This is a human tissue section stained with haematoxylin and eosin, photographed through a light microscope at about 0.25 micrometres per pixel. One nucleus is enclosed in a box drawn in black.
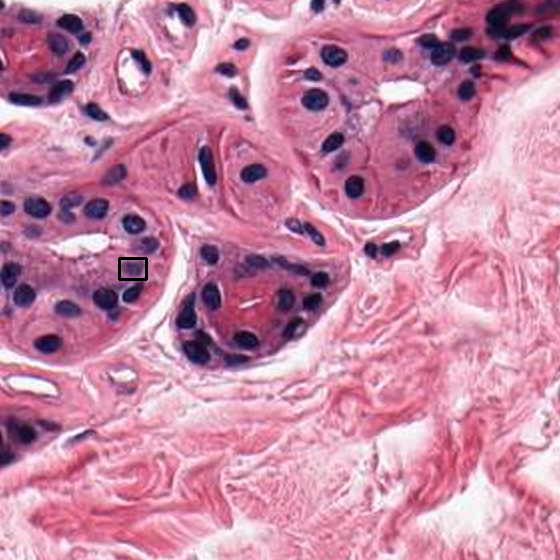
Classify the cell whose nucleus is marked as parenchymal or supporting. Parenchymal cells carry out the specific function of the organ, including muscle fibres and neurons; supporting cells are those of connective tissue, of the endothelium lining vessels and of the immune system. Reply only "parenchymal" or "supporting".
parenchymal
